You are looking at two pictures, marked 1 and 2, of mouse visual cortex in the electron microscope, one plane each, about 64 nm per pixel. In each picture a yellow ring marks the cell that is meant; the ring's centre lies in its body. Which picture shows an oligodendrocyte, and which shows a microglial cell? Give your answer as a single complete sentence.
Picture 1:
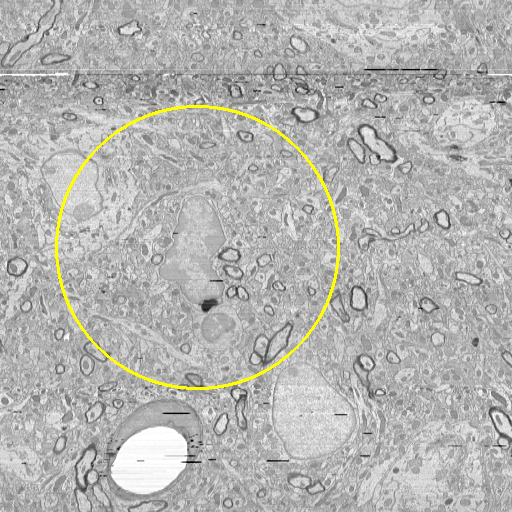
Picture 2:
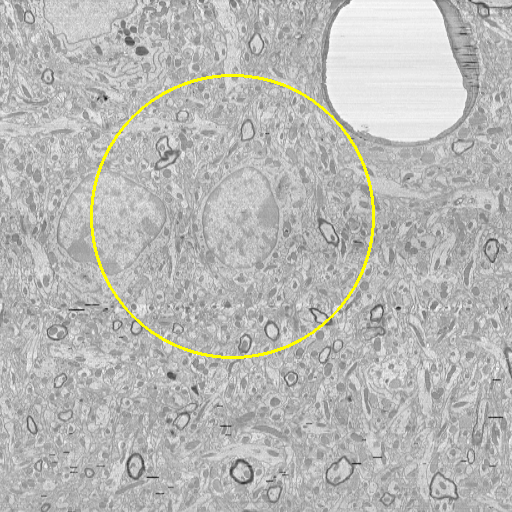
It is picture 1 that shows a microglial cell, and picture 2 that shows an oligodendrocyte.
